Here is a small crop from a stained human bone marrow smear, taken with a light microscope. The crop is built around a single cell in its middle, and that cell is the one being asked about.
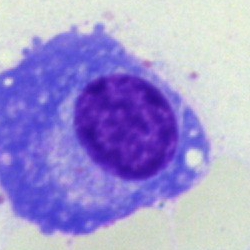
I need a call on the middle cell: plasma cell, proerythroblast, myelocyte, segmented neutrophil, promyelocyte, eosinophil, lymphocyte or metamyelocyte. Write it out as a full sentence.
The cell around which this crop is centred is a plasma cell.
